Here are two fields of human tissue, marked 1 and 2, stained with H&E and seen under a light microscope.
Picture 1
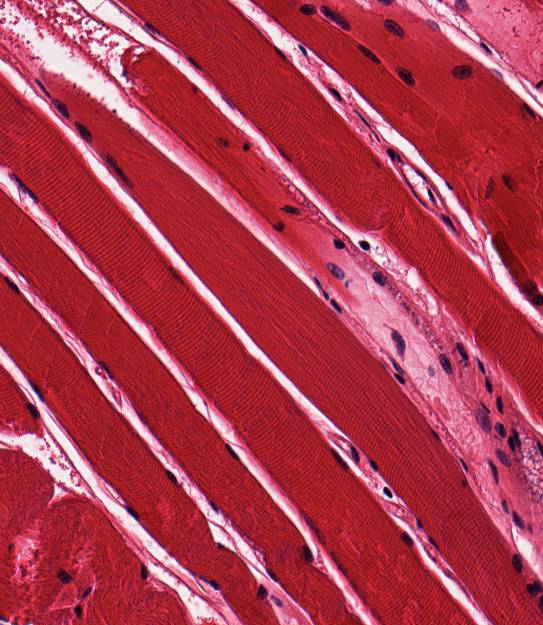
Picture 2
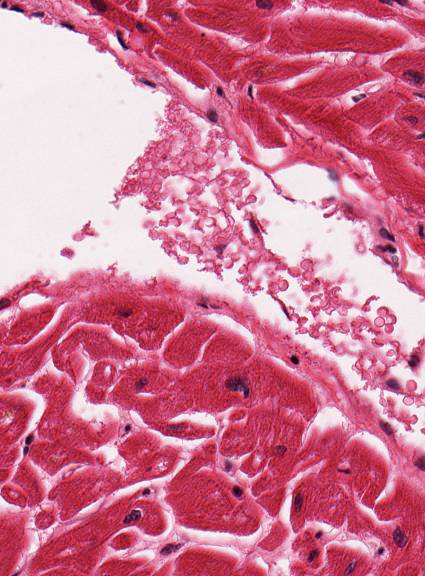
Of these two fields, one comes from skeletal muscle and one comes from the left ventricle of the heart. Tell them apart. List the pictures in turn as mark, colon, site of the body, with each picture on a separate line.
1: skeletal muscle
2: left ventricle of the heart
